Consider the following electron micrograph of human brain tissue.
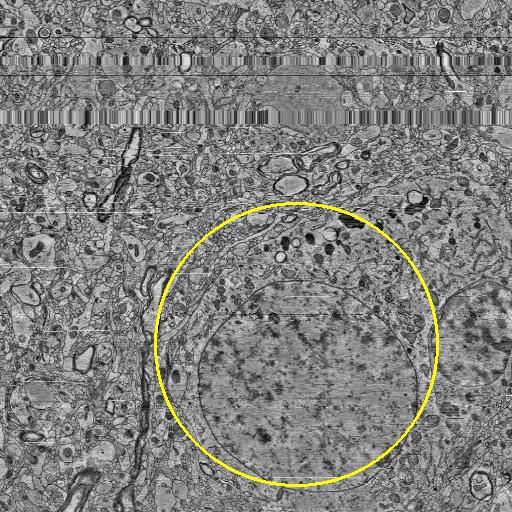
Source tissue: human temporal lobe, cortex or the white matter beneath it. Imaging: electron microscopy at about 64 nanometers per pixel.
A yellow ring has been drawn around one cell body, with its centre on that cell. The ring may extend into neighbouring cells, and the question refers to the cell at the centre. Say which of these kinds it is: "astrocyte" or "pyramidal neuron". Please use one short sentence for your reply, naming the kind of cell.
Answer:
The centre of the ring falls on a pyramidal neuron.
